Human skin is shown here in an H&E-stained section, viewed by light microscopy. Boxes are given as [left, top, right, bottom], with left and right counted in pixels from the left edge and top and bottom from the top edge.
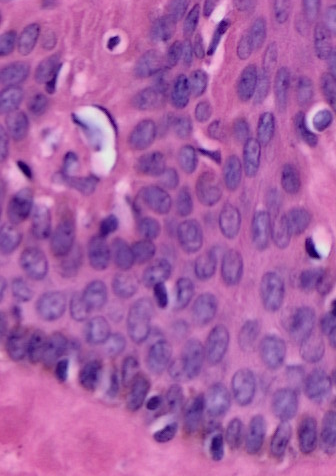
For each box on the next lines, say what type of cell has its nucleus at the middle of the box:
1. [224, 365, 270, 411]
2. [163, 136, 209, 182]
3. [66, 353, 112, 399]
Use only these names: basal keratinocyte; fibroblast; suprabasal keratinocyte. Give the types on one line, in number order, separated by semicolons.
suprabasal keratinocyte; basal keratinocyte; basal keratinocyte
